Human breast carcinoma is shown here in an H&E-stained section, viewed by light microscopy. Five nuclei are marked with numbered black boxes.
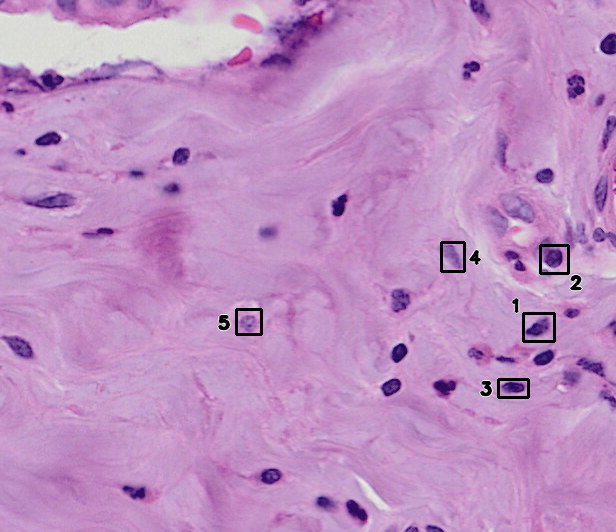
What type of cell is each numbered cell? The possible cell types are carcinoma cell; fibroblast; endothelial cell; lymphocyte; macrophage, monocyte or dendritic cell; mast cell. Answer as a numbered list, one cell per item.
1. lymphocyte
2. lymphocyte
3. lymphocyte
4. fibroblast
5. mast cell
